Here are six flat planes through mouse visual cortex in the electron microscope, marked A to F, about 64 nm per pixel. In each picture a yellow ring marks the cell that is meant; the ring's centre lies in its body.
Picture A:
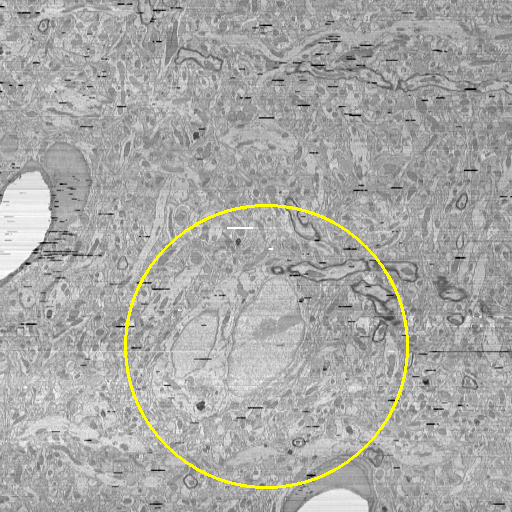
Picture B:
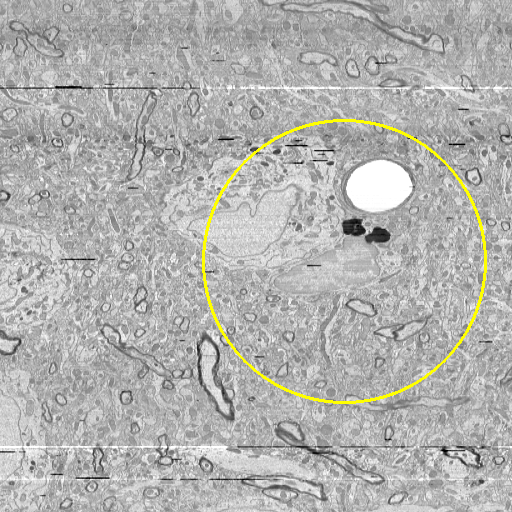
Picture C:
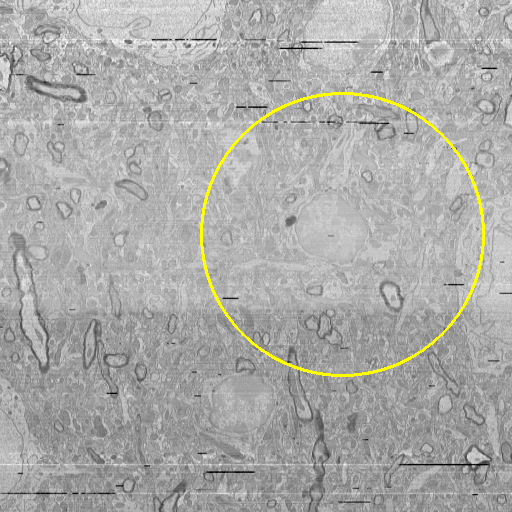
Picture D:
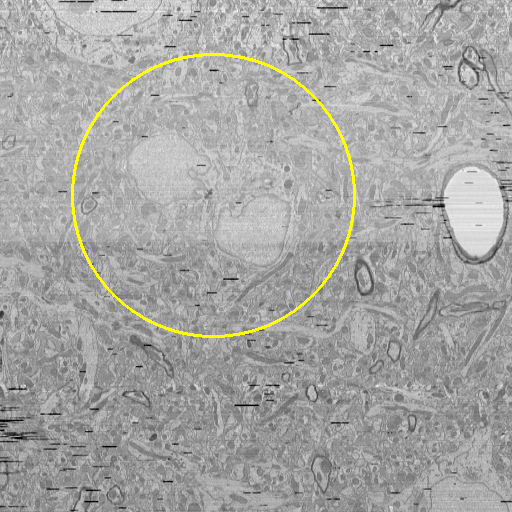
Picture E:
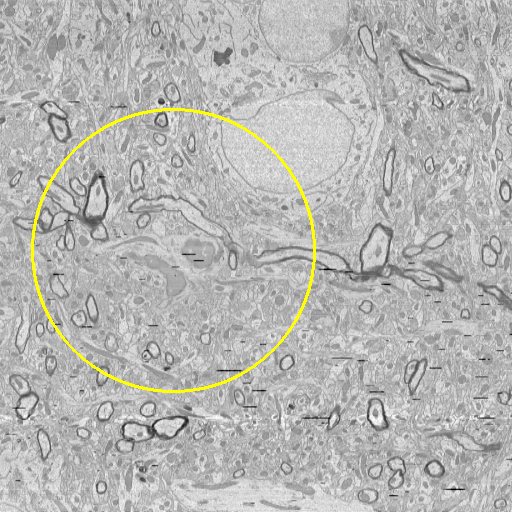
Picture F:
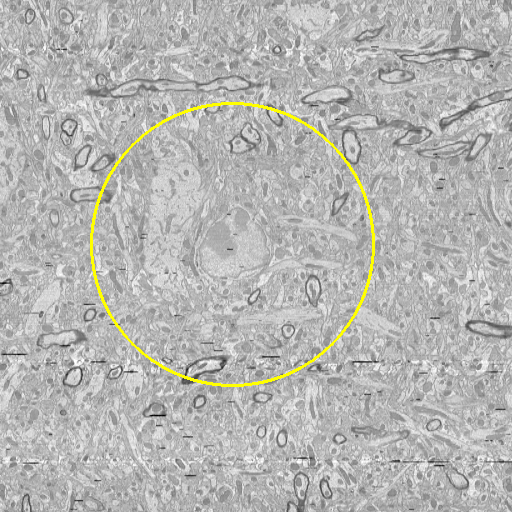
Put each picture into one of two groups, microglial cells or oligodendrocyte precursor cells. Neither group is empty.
Pictures B, C and E show microglial cells, while pictures A, D and F show oligodendrocyte precursor cells.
